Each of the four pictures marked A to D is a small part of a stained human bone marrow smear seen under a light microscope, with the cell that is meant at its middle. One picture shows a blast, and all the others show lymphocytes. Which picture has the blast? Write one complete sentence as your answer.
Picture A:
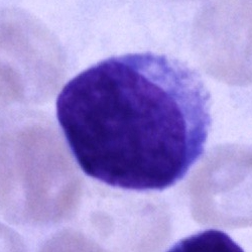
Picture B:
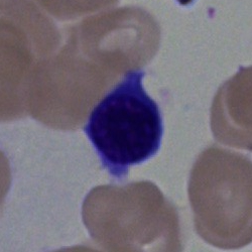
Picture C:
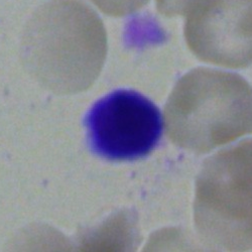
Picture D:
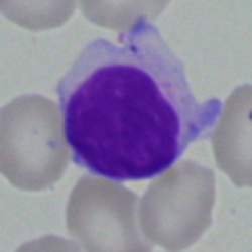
Picture A shows the blast.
